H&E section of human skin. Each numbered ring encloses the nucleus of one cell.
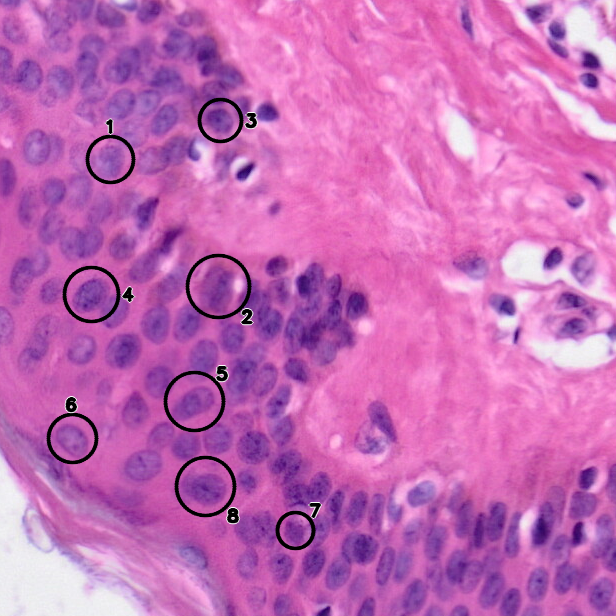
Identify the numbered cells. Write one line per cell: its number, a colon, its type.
1: suprabasal keratinocyte
2: basal keratinocyte
3: basal keratinocyte
4: suprabasal keratinocyte
5: suprabasal keratinocyte
6: suprabasal keratinocyte
7: basal keratinocyte
8: suprabasal keratinocyte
